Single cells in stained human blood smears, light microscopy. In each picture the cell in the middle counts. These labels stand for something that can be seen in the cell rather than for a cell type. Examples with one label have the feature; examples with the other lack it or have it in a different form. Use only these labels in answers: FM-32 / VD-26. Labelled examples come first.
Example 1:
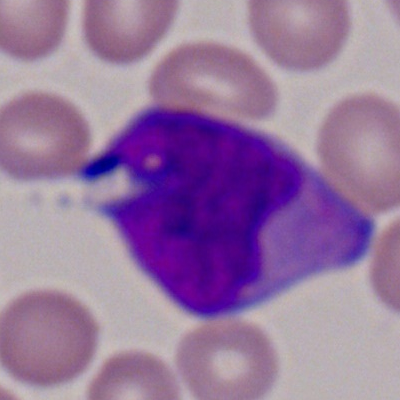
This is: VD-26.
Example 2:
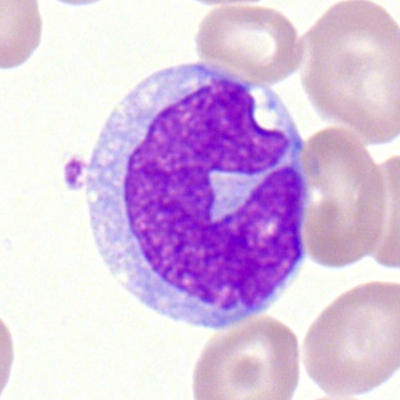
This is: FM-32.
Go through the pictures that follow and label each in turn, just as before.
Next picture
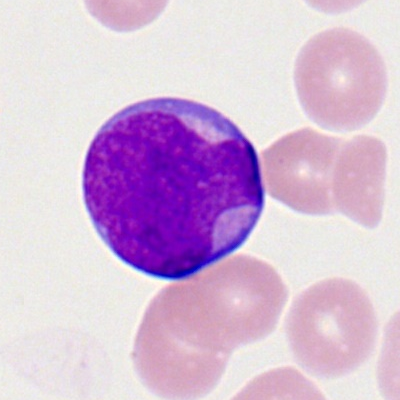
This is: FM-32.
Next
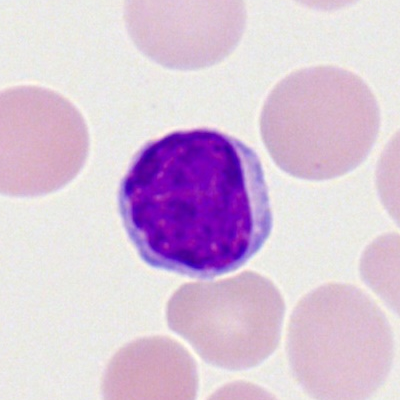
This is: FM-32.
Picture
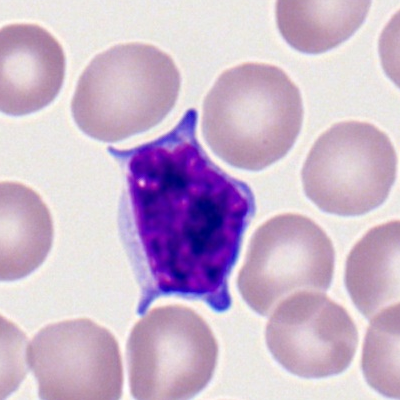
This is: VD-26.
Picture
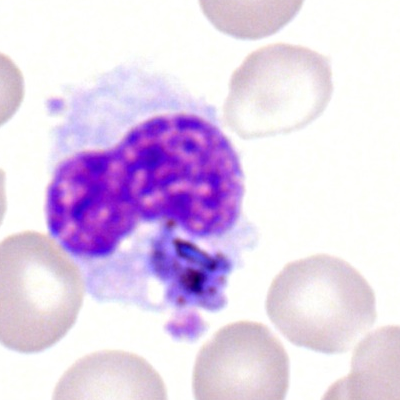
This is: VD-26.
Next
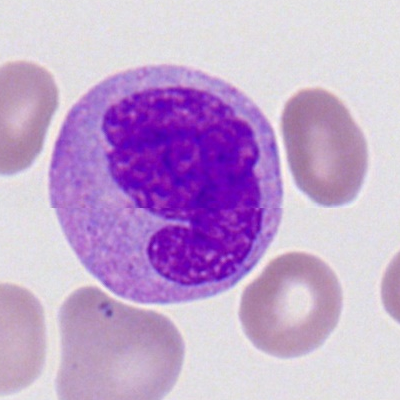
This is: FM-32.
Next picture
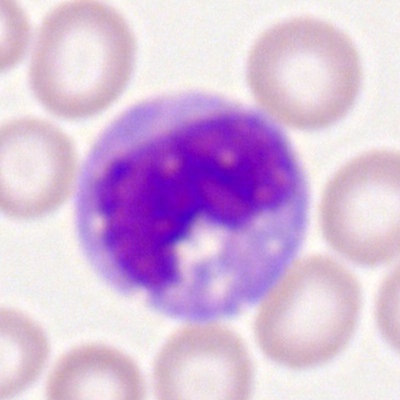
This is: FM-32.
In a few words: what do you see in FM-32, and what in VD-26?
FM-32: smooth outline; VD-26: ragged outline or projections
